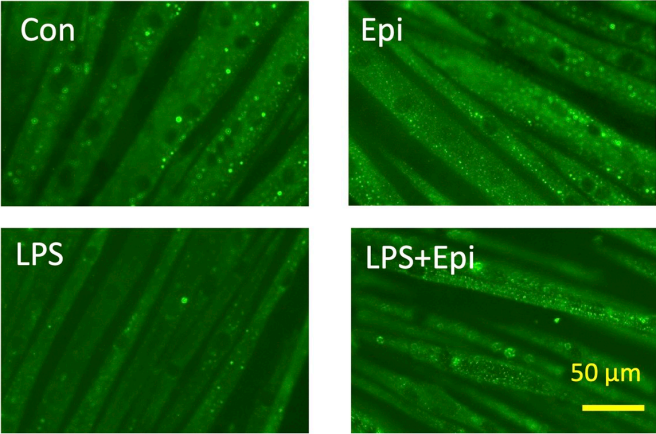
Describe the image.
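These are cultured muscle myotubes, seen as long green-fluorescent tubes lying roughly parallel to one another across each field. Within the tubes, dark oval unstained nuclei sit in rows along the length, in places several in a line. The green cytoplasm is fairly even, scattered with small bright dots. The tubes vary in width from field to field, and dark spaces separate neighbouring tubes.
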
